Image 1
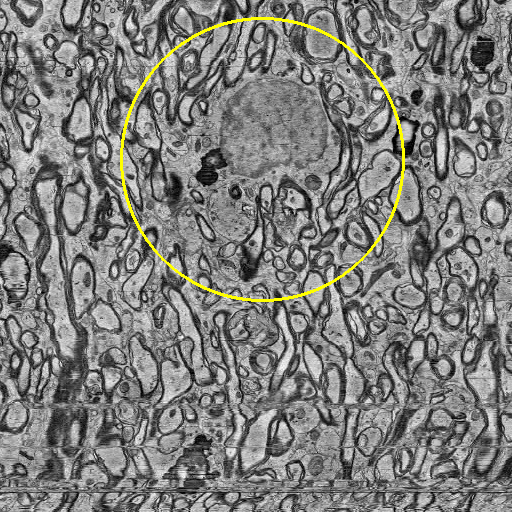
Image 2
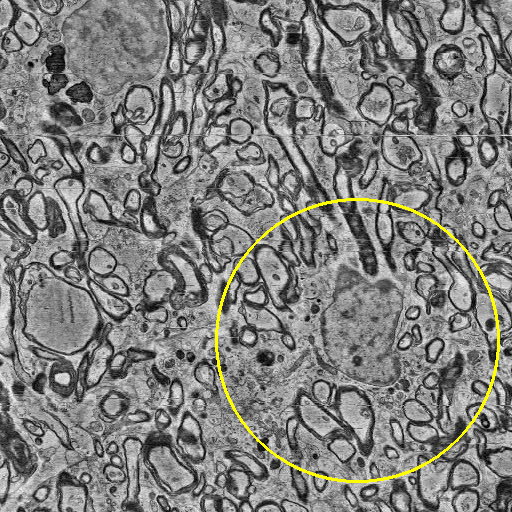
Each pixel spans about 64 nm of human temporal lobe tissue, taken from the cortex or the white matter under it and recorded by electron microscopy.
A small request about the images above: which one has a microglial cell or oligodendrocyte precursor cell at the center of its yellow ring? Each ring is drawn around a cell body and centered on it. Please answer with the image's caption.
Image 2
